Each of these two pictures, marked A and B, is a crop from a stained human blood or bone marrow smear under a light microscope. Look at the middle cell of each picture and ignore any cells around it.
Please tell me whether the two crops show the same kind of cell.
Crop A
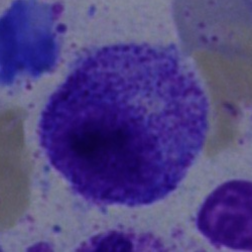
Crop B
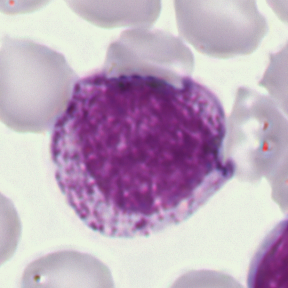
yes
